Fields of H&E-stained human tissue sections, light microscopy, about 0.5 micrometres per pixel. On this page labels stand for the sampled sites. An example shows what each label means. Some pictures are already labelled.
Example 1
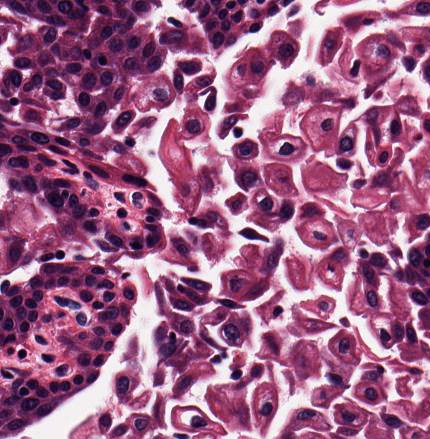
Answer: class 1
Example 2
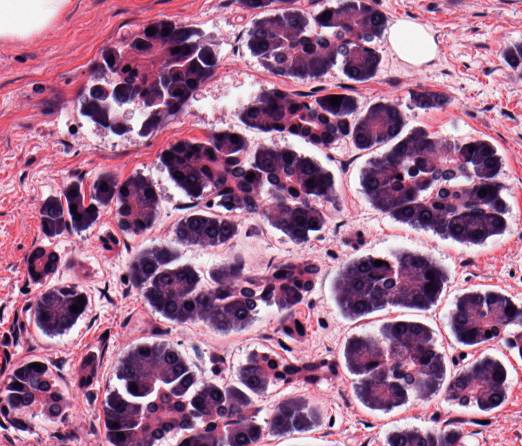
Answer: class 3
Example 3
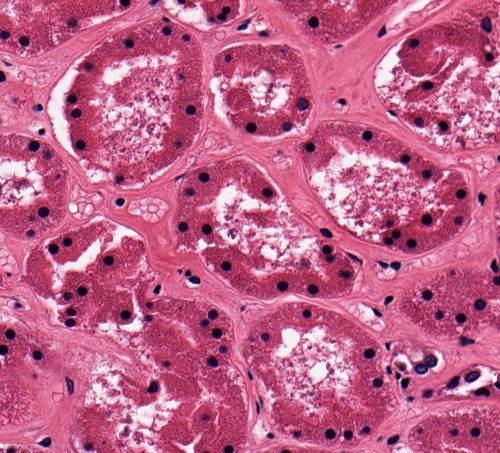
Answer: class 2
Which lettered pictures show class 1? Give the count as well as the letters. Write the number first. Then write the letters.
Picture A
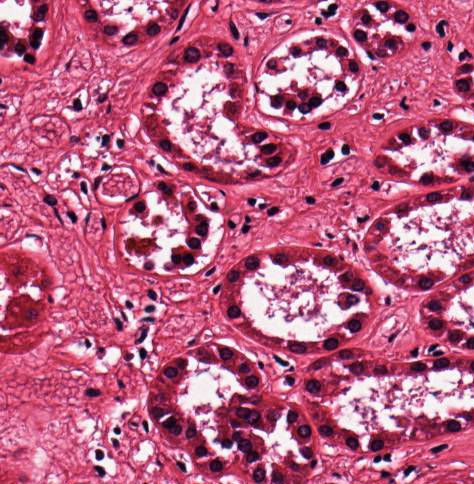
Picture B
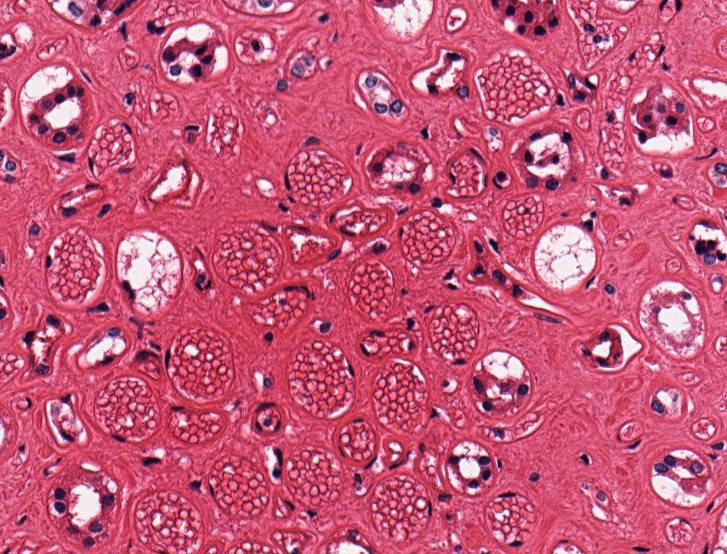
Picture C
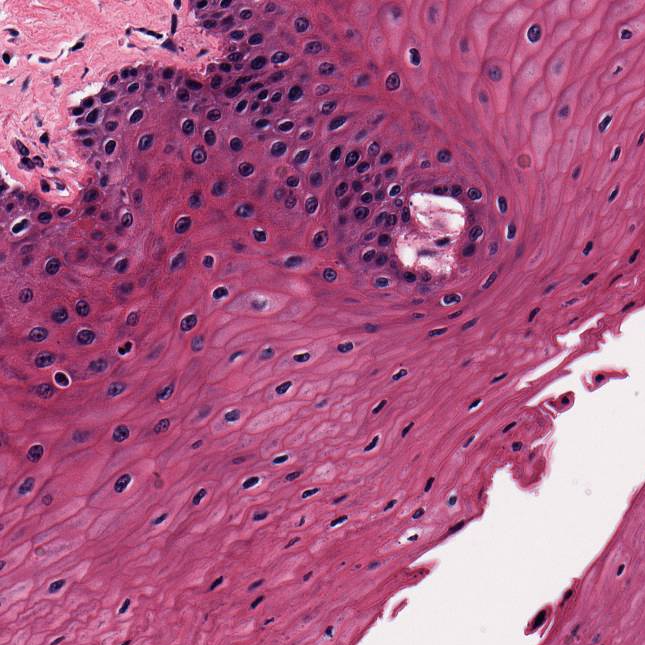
Count: 1 (C)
